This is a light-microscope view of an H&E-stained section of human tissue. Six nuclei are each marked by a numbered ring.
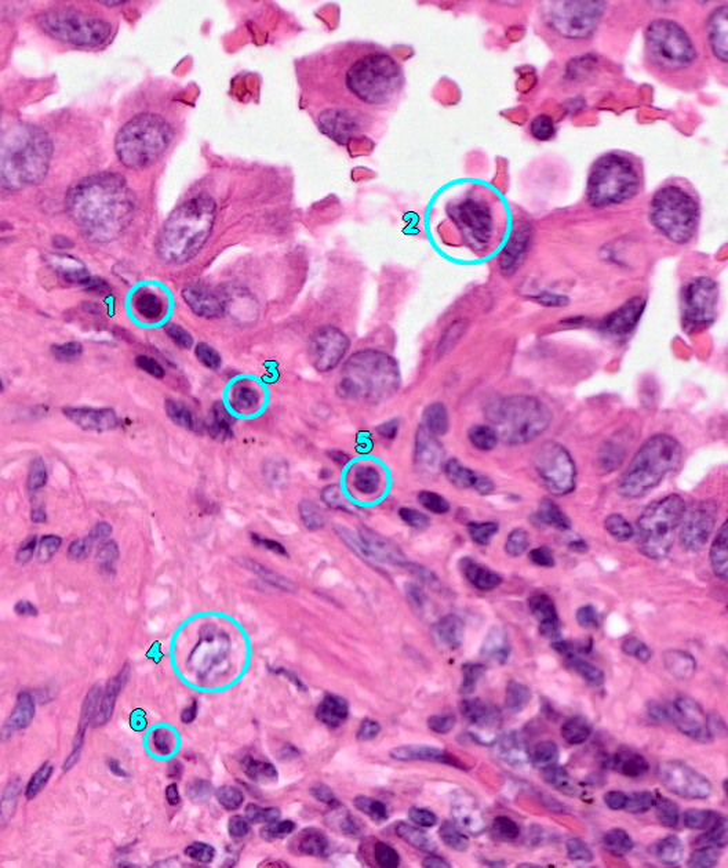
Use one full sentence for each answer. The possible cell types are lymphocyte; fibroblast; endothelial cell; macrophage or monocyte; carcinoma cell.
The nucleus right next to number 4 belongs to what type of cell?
The nearest nucleus to number 4 belongs to a lymphocyte.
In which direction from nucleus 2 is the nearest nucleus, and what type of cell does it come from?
The closest nucleus belongs to a carcinoma cell and sits below and to the right of nucleus 2.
